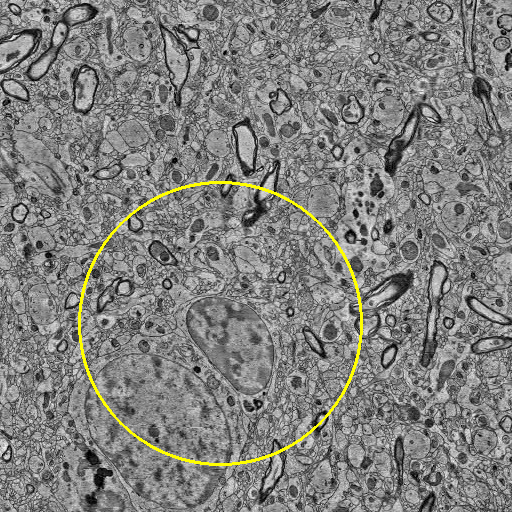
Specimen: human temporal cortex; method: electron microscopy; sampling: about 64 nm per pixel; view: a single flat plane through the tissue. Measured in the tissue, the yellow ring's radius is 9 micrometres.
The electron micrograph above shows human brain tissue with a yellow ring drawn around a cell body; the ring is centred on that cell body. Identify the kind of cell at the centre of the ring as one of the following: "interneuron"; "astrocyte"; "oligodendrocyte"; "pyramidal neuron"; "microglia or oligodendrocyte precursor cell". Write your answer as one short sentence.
The cell at the centre of the ring is a microglial cell or oligodendrocyte precursor cell.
